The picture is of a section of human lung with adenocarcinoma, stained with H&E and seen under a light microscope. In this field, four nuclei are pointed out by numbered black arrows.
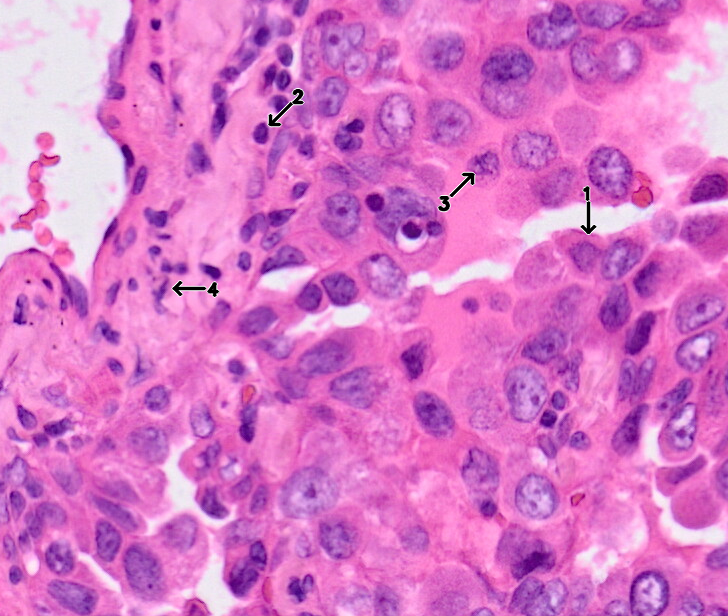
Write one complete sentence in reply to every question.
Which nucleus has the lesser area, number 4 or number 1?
Nucleus 4 is the smaller one; nucleus 1 covers about 4 times its area.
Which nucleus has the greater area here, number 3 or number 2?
Of the two, number 3 is bigger and takes up about 2.5 times the area of number 2.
